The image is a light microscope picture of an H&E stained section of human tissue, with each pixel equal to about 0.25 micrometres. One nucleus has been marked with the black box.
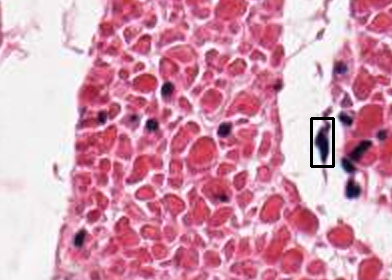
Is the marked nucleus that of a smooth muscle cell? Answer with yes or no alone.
no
